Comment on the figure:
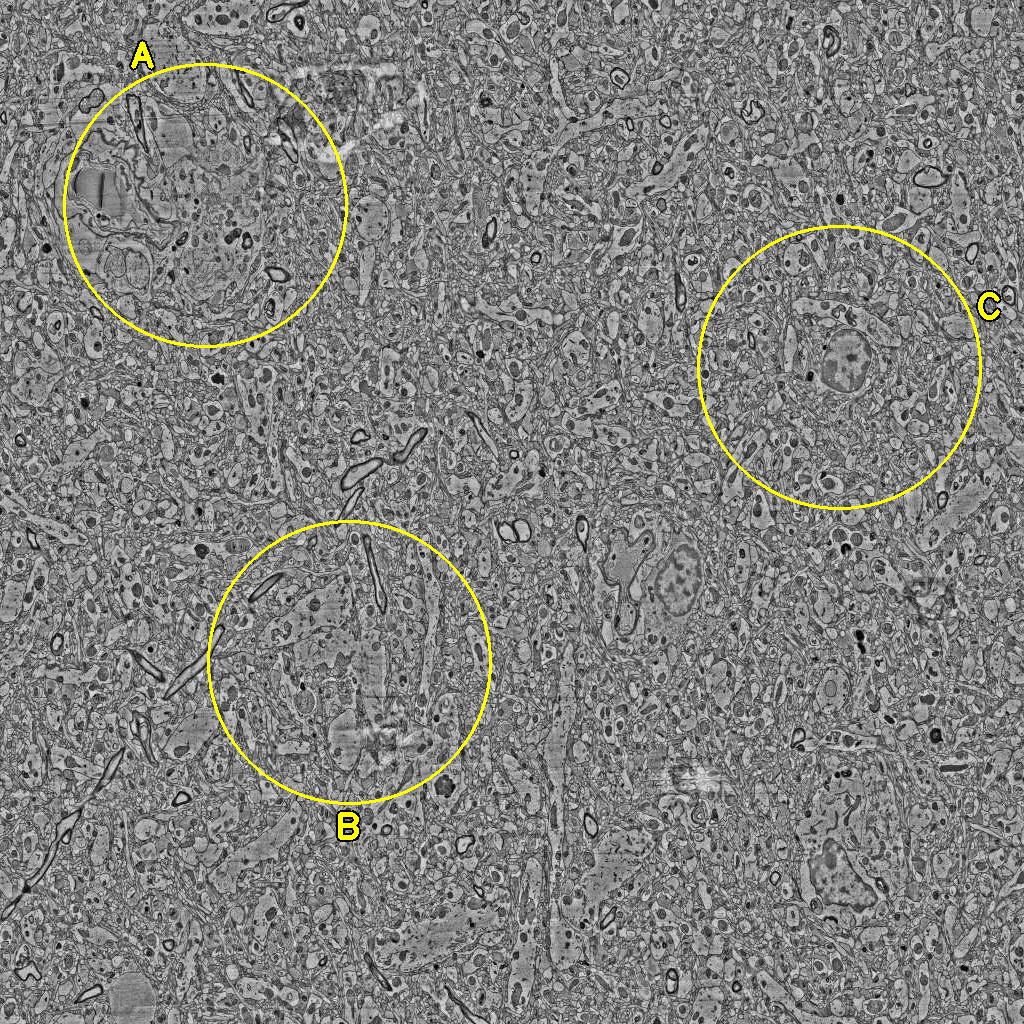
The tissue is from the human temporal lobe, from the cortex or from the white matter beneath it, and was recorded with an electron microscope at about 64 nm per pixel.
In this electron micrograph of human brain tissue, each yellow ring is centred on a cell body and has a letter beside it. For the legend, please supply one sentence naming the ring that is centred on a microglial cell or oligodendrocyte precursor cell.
Ring C is centred on that cell.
